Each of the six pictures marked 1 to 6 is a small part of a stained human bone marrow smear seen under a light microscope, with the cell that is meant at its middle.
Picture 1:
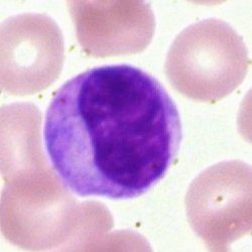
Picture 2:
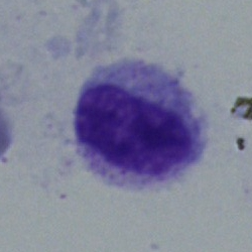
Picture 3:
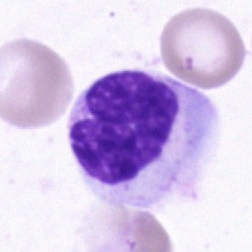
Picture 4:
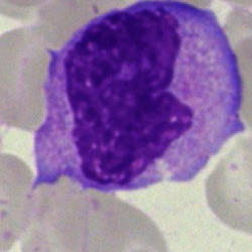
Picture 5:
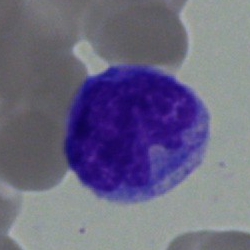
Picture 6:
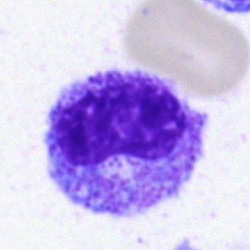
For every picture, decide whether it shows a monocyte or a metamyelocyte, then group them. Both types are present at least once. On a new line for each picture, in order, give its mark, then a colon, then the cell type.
1: metamyelocyte
2: metamyelocyte
3: metamyelocyte
4: monocyte
5: monocyte
6: metamyelocyte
